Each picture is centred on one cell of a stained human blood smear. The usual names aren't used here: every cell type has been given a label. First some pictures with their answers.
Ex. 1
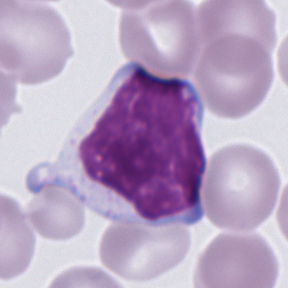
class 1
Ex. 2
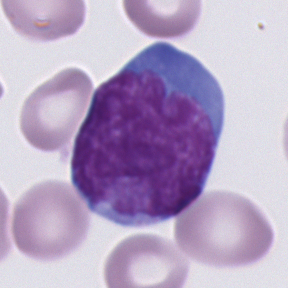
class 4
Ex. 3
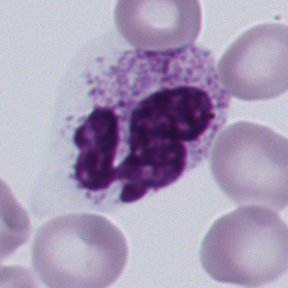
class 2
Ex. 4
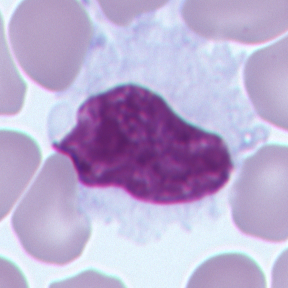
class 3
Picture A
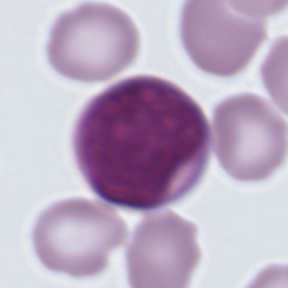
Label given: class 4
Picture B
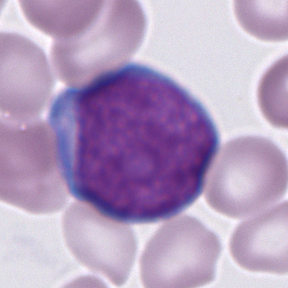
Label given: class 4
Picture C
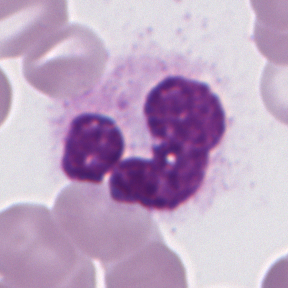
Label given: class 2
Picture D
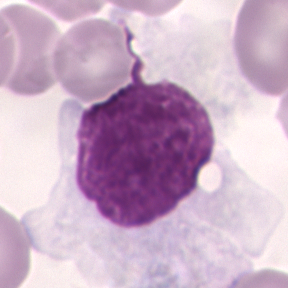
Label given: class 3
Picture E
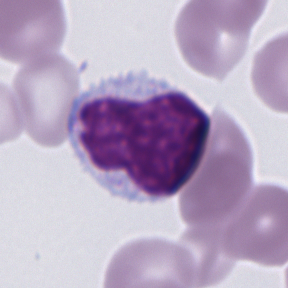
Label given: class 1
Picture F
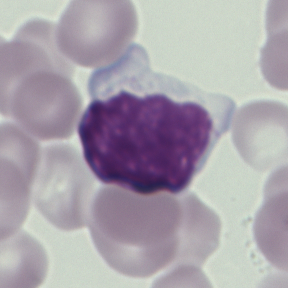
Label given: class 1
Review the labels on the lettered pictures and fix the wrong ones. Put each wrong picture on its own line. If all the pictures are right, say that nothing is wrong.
All correct.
